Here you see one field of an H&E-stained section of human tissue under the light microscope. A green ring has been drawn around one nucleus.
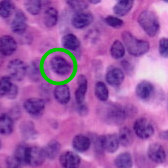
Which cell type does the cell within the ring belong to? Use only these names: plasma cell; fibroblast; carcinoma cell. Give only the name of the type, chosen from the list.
plasma cell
